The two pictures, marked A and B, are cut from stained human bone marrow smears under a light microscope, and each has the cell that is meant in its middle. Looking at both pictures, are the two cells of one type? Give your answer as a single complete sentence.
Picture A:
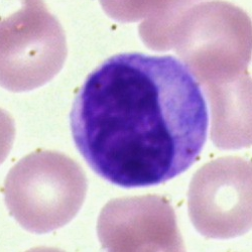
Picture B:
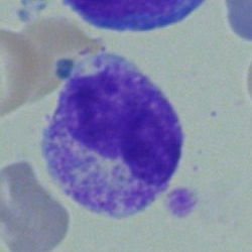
Yes, they are the same type: both are metamyelocytes.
